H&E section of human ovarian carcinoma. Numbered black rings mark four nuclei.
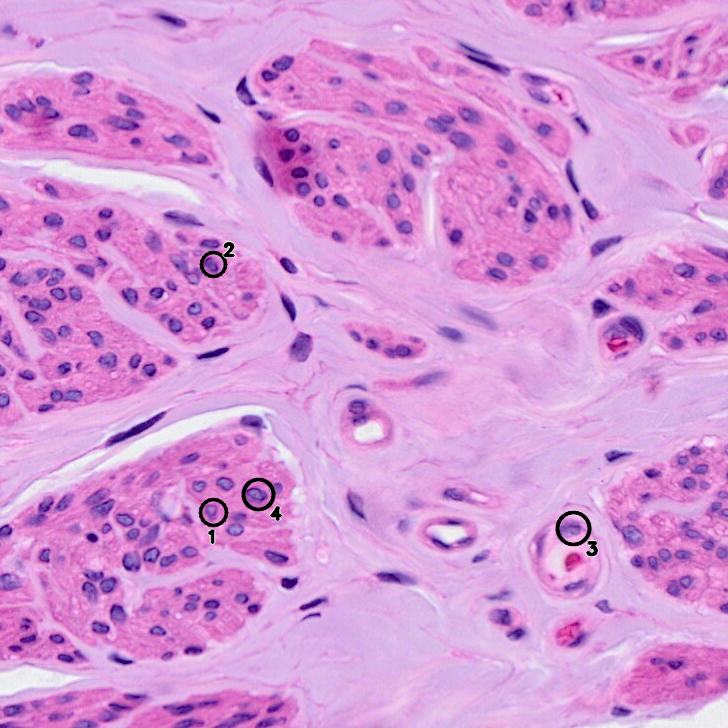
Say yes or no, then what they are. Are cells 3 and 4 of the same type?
No, cell 3 is an endothelial cell and cell 4 is a smooth muscle cell.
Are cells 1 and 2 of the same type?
Yes, both are smooth muscle cells.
